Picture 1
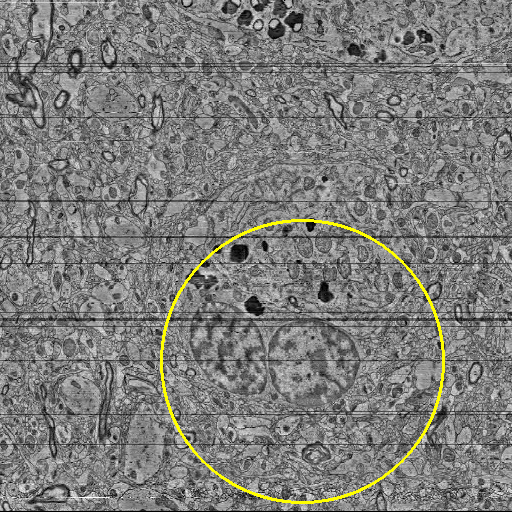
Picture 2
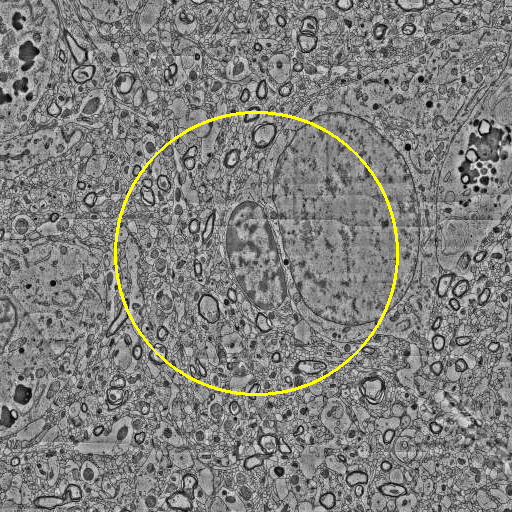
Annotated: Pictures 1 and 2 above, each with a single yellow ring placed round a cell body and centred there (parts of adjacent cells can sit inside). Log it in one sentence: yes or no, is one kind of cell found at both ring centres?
No, the ring centres of the two pictures hold cells of two kinds.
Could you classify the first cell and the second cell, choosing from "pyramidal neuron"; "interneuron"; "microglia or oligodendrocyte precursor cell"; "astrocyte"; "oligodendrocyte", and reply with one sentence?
The second cell is a microglial cell or oligodendrocyte precursor cell, while the first is an oligodendrocyte.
